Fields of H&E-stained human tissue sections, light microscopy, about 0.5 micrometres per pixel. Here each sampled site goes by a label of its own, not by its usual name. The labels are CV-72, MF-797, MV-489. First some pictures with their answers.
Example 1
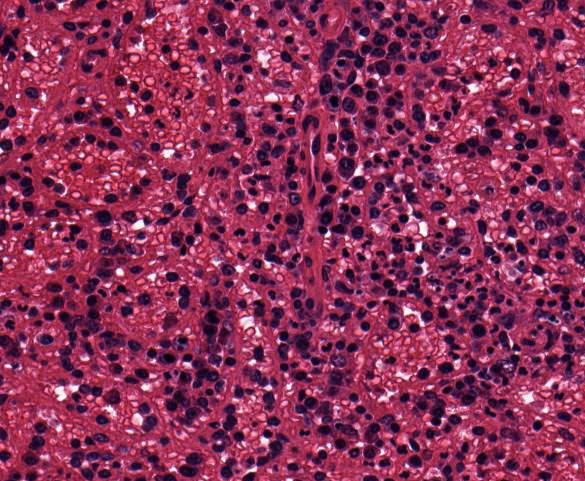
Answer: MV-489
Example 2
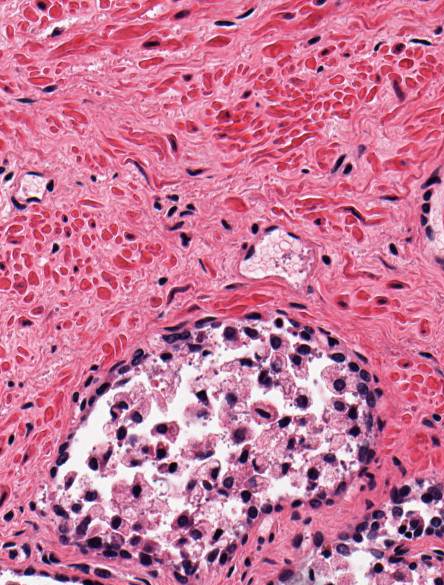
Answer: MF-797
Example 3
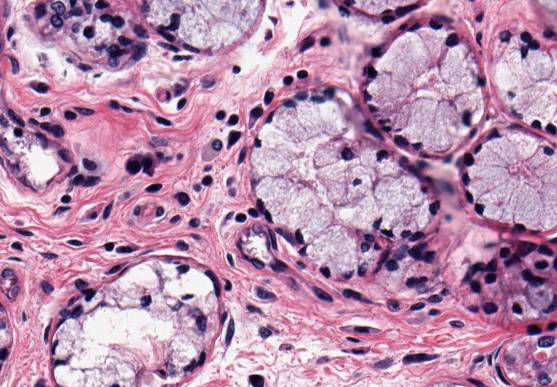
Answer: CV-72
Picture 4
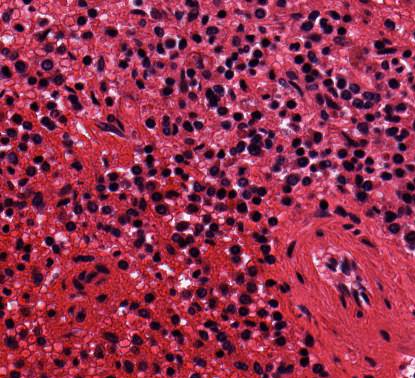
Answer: MV-489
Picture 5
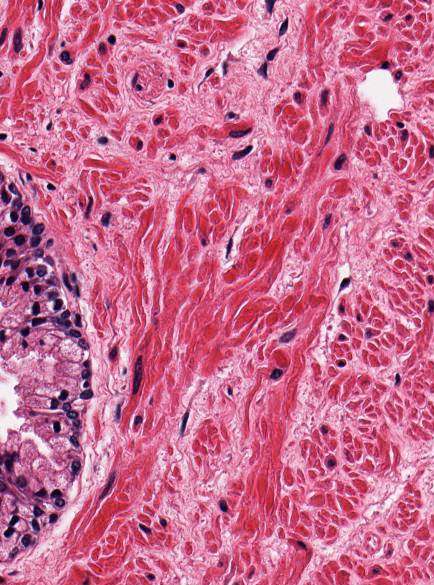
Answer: MF-797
